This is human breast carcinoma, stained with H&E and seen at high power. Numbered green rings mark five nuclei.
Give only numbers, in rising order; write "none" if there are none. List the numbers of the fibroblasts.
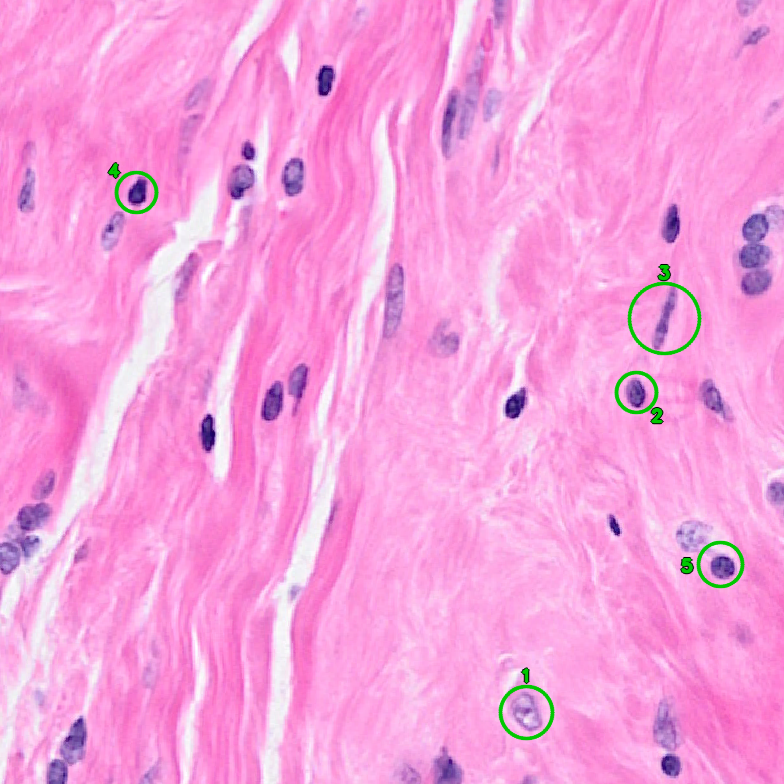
1, 3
